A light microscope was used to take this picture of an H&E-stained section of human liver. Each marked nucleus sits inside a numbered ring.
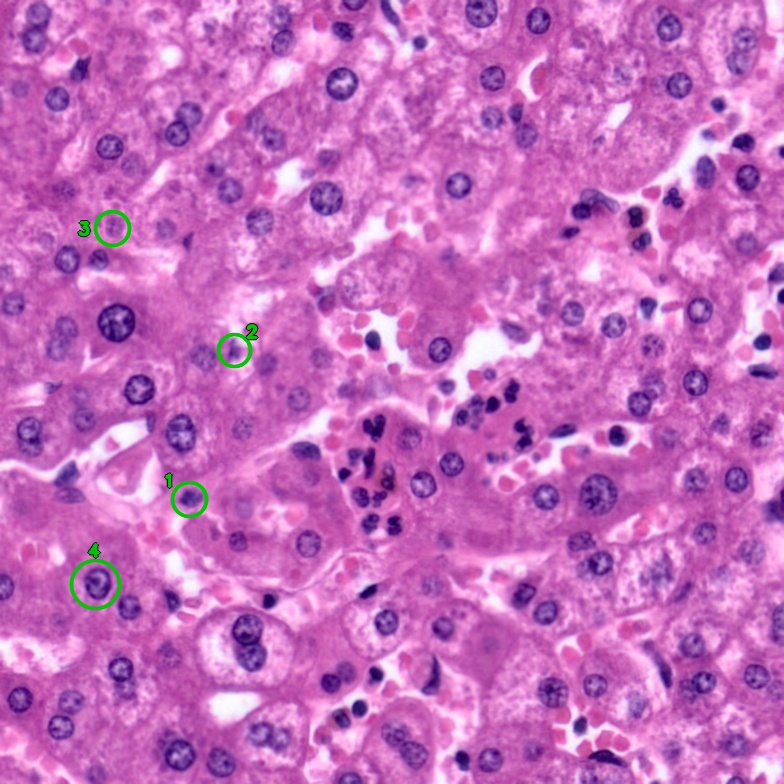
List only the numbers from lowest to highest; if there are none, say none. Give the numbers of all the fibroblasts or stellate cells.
1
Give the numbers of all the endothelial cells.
2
